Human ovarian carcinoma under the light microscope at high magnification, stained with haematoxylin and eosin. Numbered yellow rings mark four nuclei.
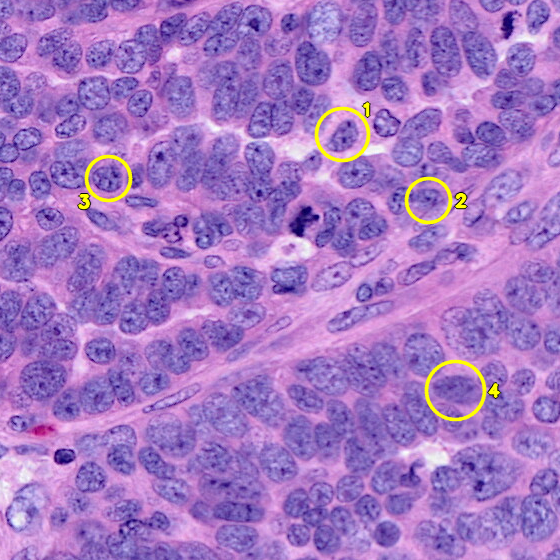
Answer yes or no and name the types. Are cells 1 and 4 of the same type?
No, cell 1 is a macrophage or monocyte and cell 4 is a carcinoma cell.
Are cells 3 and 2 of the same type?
Yes, both are carcinoma cells.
